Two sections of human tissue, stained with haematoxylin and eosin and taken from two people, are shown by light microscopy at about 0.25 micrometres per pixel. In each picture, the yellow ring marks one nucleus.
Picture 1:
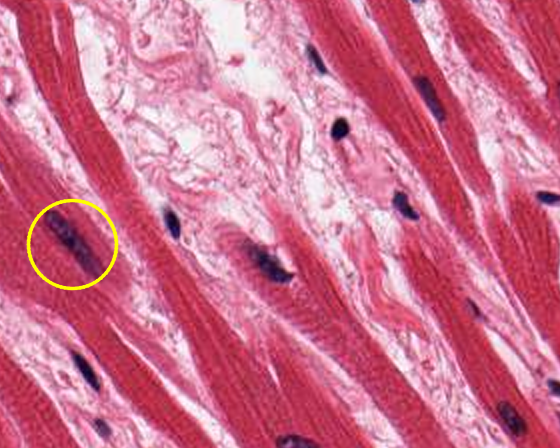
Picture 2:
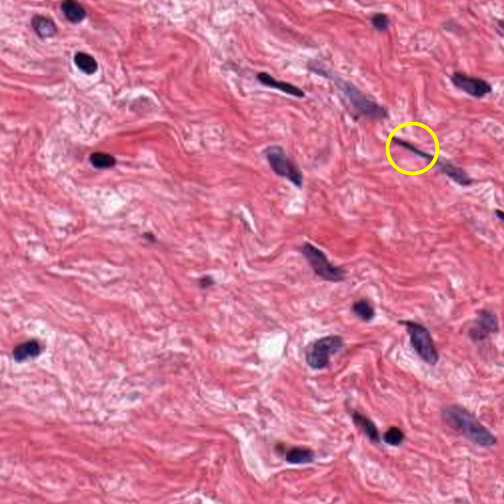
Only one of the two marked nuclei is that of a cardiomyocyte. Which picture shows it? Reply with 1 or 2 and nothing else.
1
